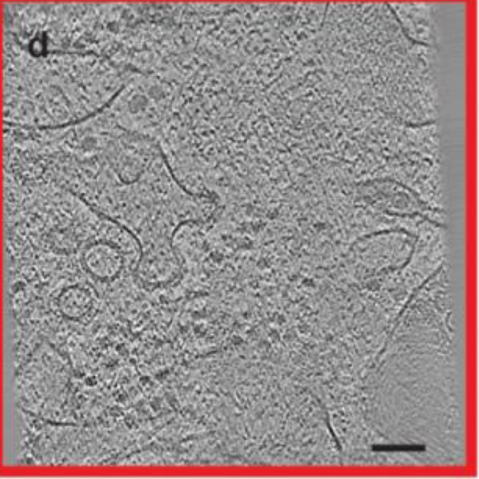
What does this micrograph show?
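Here I see a grey, finely granular cytoplasm, with thin dark membrane lines running through it. Several small round profiles with a clear rim stand in the left half. These look like membrane vesicles. Longer curved and looping membrane profiles wind between them, which read as tubules. Small dense granules are scattered throughout the background, and a darker, denser cluster of granular material lies below the centre. Toward the right edge a long smooth membrane crosses the field. So this is a high-magnification slice through the interior of a cell, showing membrane vesicles and tubules embedded in crowded cytoplasm.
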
